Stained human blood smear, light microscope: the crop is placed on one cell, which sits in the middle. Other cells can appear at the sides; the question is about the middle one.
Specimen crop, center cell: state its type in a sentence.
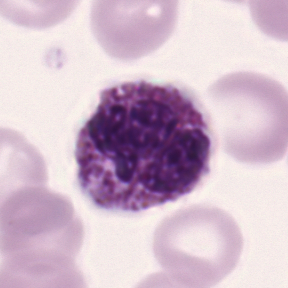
In the middle of this smear crop, the cell is an eosinophil.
